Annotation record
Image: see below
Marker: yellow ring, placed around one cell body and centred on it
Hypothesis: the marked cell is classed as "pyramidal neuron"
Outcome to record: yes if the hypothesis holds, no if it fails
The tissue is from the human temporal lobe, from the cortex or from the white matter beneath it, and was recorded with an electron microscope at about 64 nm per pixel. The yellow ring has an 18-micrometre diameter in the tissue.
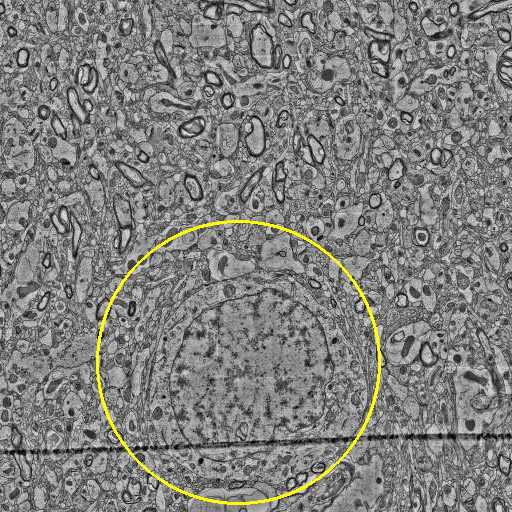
yes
